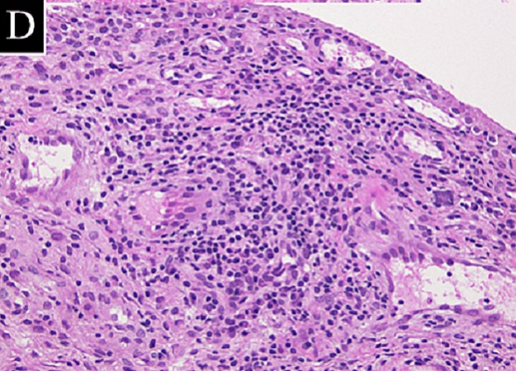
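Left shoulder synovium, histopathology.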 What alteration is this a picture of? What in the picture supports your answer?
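Dense sheets of small round cells with dark nuclei fill the centre of the tissue. The crowded dark nuclei stand out against the pinker surrounding stroma. So: inflammatory infiltrate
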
